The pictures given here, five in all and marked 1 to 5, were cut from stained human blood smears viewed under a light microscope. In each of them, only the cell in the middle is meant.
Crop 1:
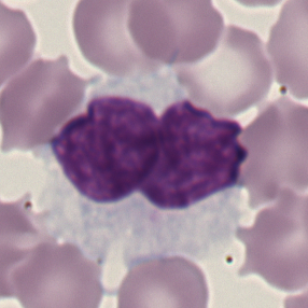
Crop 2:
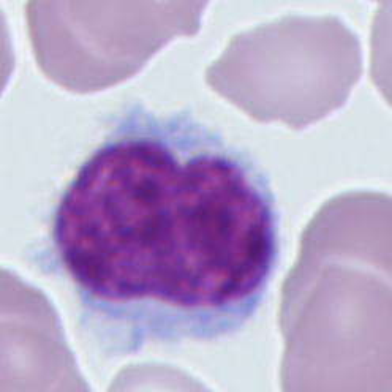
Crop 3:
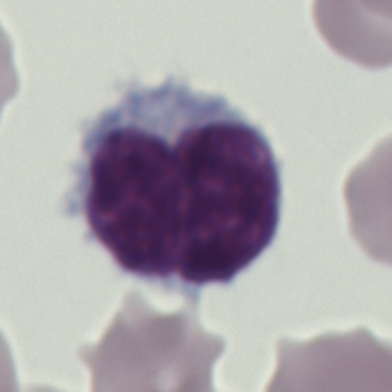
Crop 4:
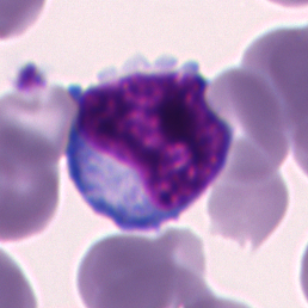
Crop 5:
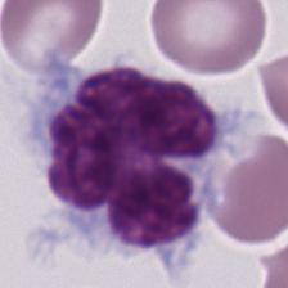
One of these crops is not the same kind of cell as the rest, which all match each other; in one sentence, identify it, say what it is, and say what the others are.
The outlier here is crop 4, which is a typical lymphocyte, while the remainder show hairy cells.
